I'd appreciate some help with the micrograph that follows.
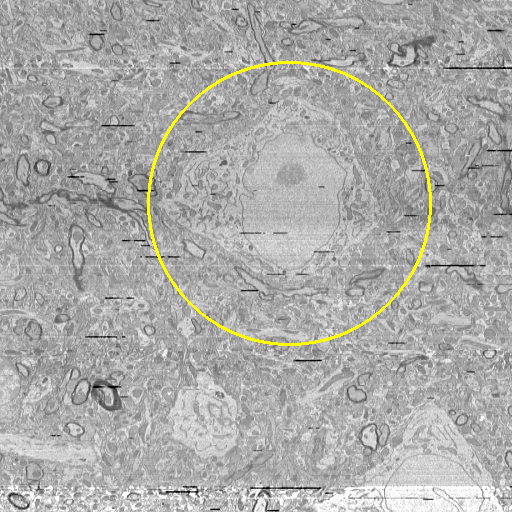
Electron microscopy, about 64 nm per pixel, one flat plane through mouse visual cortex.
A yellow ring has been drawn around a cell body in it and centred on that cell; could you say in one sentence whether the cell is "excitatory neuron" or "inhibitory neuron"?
It is an inhibitory neuron at the centre of the ring.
